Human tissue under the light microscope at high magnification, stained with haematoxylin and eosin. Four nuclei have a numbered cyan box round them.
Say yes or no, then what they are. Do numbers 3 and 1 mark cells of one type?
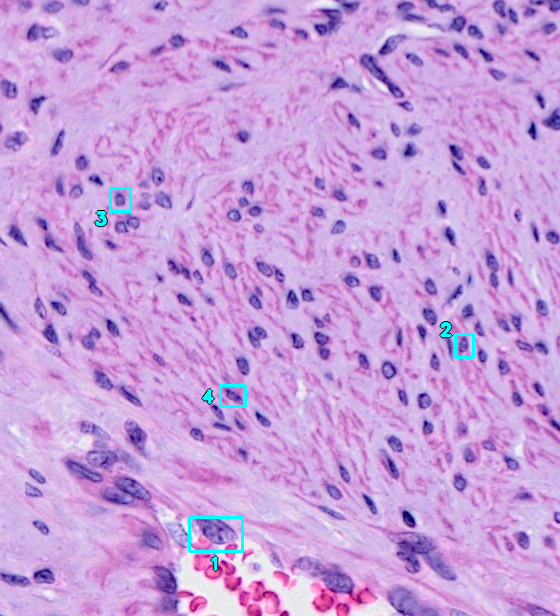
No, cell number 3 is a smooth muscle cell and cell number 1 is an endothelial cell.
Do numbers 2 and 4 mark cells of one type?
Yes, the two cells marked 2 and 4 are both smooth muscle cells.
